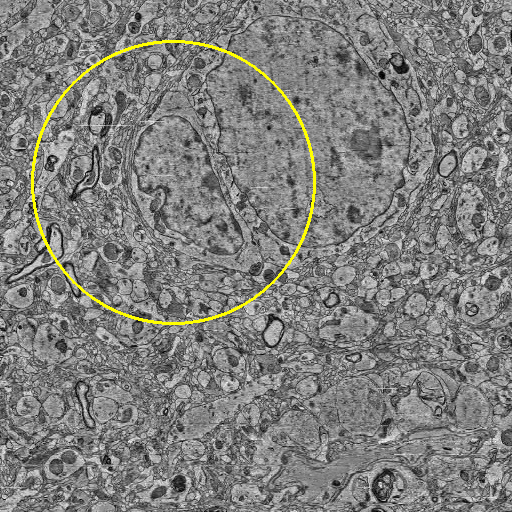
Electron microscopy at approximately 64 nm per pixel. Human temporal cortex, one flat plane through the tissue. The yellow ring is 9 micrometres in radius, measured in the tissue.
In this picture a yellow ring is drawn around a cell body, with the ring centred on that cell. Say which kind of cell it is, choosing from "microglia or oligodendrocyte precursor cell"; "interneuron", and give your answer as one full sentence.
Here it is a microglial cell or oligodendrocyte precursor cell that sits at the centre of the drawn yellow ring.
